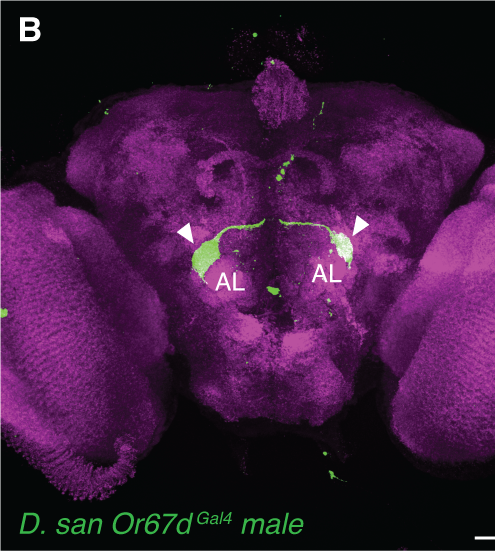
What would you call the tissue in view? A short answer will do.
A: whole brain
